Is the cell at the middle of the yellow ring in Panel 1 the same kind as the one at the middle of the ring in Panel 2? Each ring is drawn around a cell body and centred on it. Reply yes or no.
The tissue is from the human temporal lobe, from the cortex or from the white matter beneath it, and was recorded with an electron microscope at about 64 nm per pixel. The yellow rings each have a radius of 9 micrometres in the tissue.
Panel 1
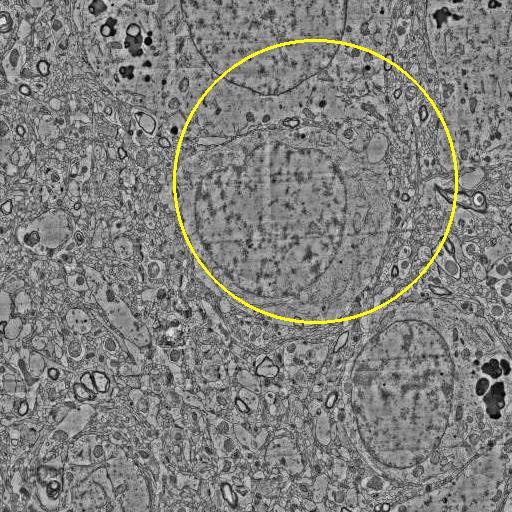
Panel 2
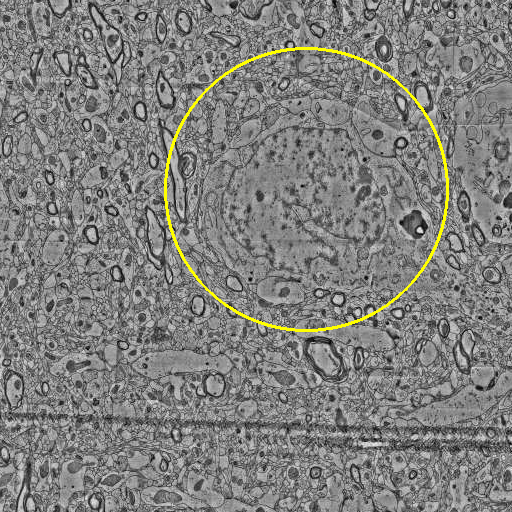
yes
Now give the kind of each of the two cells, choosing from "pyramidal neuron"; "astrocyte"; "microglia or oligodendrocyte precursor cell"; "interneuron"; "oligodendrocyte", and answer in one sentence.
Each cell at the centre of a ring is an interneuron.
